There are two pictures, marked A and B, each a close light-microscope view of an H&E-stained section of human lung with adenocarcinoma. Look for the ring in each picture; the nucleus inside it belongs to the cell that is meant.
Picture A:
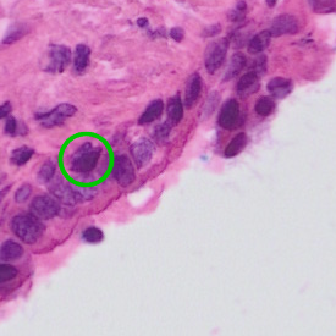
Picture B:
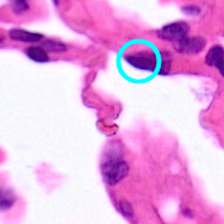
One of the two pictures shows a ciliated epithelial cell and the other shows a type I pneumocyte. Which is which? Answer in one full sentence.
Picture A shows a ciliated epithelial cell and picture B shows a type I pneumocyte.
